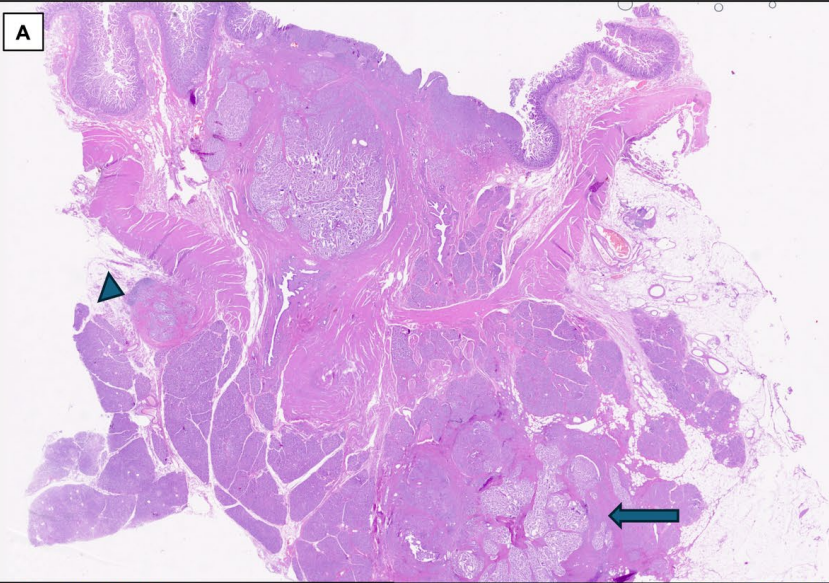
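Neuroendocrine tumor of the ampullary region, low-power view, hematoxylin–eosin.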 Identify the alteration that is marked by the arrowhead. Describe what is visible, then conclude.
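A small rounded encapsulated nodule lies at the arrowhead on the left edge. The nodule has a bluish rim and a paler pink centre, unlike the surrounding tissue. So: local lymph node metastasis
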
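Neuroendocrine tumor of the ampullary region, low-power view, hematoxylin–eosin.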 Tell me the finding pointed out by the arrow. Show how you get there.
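The arrow points into pale tumor nests lying among lobules of purple glandular tissue. The pale nests are wedged between lobules rather than set apart by a capsule.
Hence: infiltration of pancreatic parenchyma.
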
